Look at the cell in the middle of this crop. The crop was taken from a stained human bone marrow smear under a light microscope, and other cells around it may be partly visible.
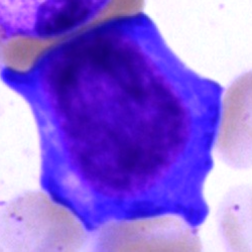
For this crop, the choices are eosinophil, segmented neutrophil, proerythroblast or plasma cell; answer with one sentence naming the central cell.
Standing at the centre of this crop is a proerythroblast.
